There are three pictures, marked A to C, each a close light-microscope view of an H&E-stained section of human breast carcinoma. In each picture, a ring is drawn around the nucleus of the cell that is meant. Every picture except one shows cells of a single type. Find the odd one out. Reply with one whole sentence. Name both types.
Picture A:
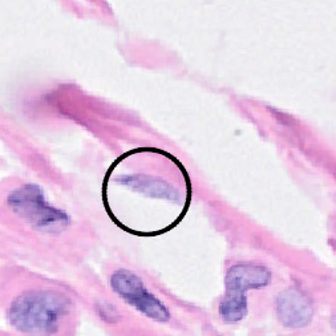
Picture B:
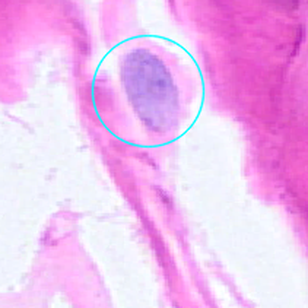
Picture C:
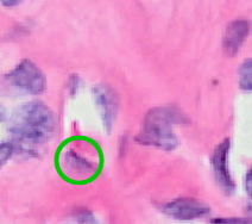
The others show fibroblasts, but picture C shows an endothelial cell.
